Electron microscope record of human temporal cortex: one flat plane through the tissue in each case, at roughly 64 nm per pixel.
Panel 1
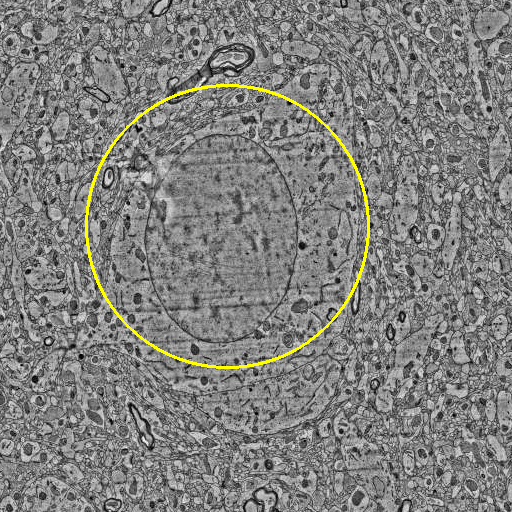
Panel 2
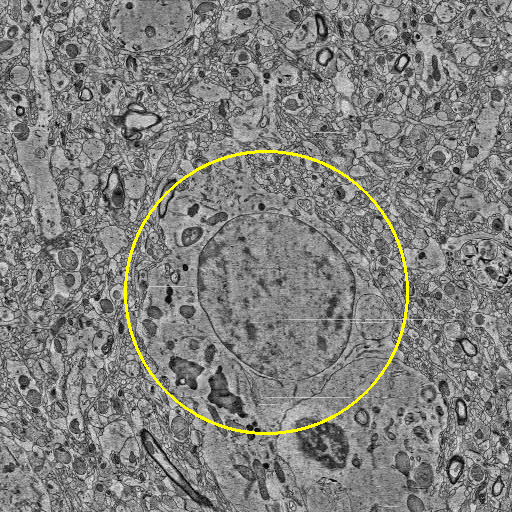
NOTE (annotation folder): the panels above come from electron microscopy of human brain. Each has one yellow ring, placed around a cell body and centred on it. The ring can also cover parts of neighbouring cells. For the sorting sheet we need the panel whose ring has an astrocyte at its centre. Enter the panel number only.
2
